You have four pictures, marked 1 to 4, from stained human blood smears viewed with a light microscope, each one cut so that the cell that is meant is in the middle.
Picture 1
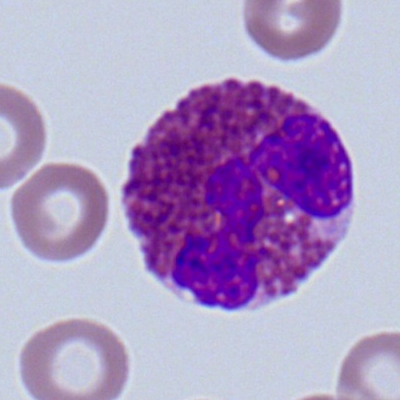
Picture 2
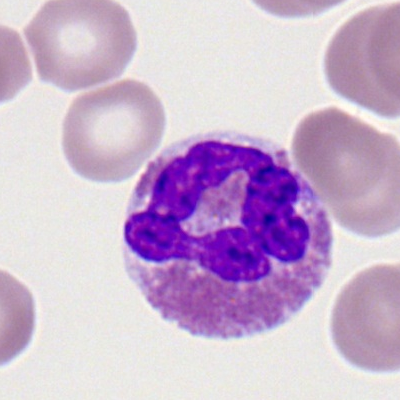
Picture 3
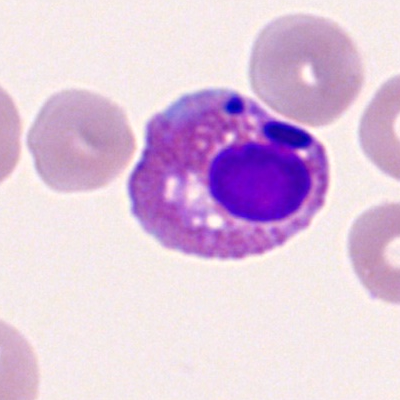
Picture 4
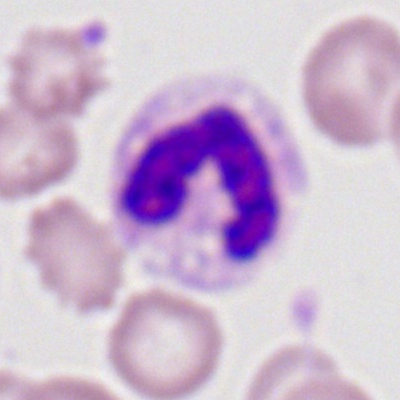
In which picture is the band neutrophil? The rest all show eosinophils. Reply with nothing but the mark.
4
